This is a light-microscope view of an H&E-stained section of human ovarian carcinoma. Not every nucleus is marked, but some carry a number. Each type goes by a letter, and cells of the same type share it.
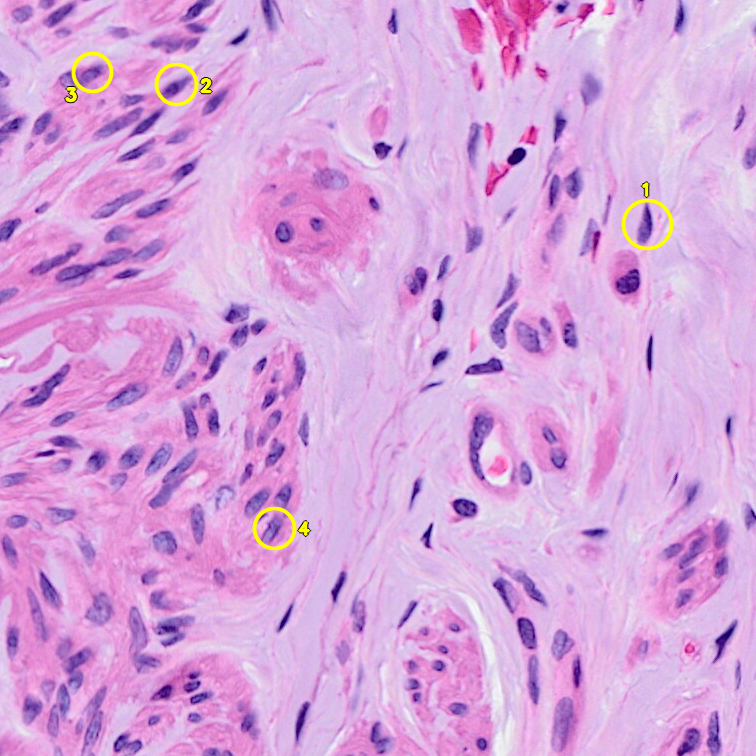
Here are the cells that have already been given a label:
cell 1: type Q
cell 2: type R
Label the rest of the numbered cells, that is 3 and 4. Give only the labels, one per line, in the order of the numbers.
type R
type R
